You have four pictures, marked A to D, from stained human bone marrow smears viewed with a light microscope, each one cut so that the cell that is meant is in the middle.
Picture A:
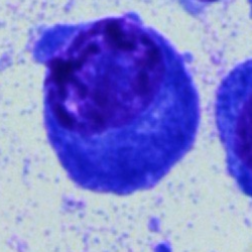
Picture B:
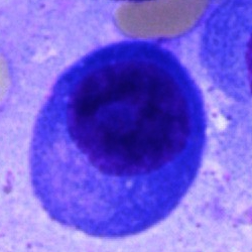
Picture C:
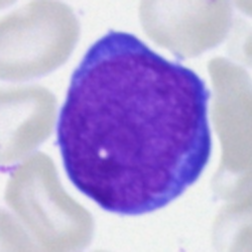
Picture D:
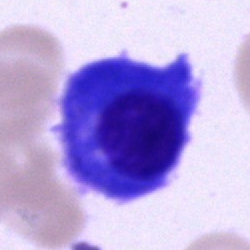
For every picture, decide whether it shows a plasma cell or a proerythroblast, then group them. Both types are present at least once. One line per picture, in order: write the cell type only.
plasma cell
plasma cell
proerythroblast
plasma cell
